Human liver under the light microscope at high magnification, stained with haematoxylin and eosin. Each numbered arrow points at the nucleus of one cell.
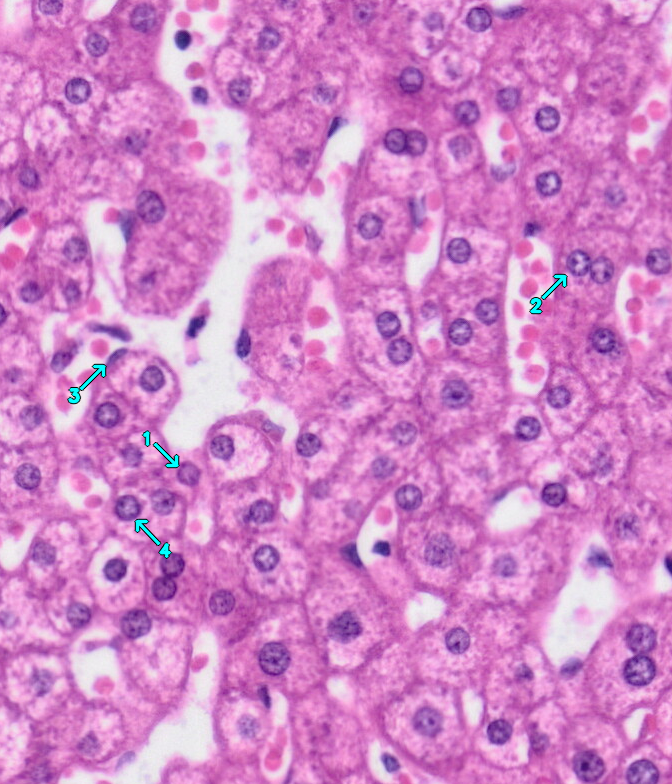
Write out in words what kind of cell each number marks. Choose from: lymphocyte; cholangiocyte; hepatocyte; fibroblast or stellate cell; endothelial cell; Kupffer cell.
Cells 1, 2 and 4 are hepatocytes. Cell 3 is an endothelial cell.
